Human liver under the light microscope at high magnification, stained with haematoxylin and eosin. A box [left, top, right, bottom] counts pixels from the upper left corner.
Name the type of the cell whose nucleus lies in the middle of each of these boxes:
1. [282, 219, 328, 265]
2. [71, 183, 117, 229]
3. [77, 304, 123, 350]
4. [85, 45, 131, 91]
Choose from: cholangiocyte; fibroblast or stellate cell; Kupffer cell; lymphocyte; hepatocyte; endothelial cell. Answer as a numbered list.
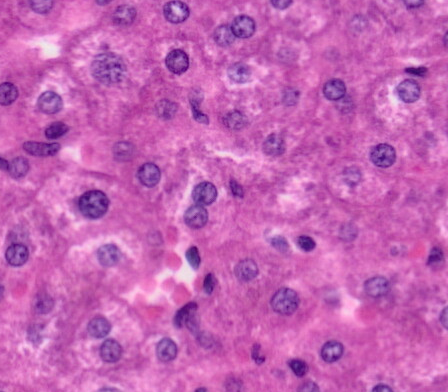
1. lymphocyte
2. hepatocyte
3. hepatocyte
4. hepatocyte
